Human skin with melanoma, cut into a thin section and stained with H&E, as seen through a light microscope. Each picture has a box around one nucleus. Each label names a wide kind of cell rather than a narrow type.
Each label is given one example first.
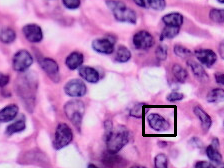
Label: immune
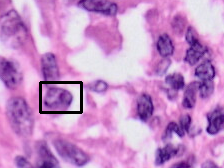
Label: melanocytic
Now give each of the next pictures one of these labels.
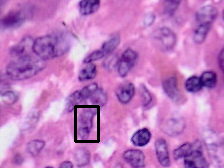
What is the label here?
melanocytic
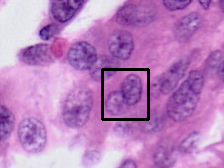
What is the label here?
melanocytic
